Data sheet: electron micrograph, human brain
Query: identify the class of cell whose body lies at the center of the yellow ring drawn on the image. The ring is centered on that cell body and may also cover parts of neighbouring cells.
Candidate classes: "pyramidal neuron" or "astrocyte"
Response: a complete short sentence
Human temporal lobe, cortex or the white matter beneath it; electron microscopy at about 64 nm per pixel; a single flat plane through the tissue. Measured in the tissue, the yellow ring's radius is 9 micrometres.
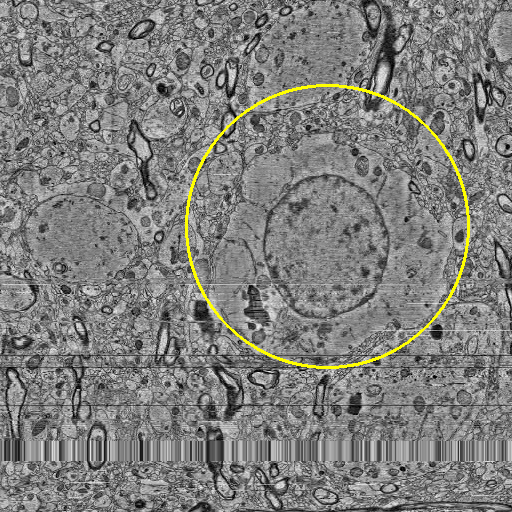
At the center of the ring lies an astrocyte.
